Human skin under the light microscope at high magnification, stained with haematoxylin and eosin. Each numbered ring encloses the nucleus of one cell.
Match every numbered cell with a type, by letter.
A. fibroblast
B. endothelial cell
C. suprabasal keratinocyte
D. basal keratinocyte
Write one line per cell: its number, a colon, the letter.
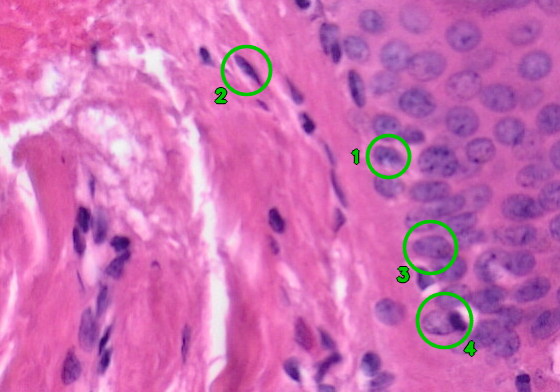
1: D
2: A
3: D
4: D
